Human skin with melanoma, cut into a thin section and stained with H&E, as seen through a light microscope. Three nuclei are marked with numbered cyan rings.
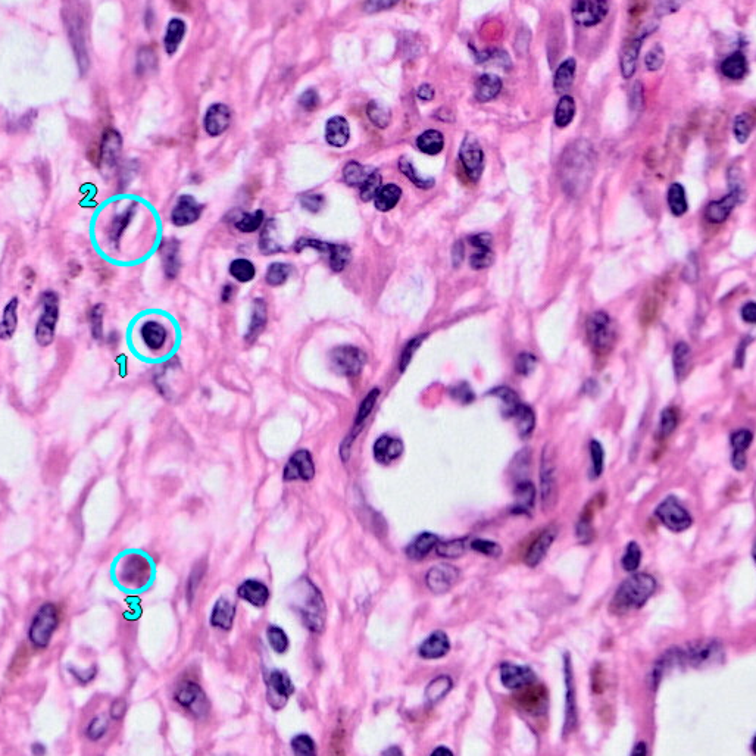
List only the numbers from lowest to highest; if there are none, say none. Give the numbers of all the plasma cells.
none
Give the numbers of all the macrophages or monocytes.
3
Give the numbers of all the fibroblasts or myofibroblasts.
2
